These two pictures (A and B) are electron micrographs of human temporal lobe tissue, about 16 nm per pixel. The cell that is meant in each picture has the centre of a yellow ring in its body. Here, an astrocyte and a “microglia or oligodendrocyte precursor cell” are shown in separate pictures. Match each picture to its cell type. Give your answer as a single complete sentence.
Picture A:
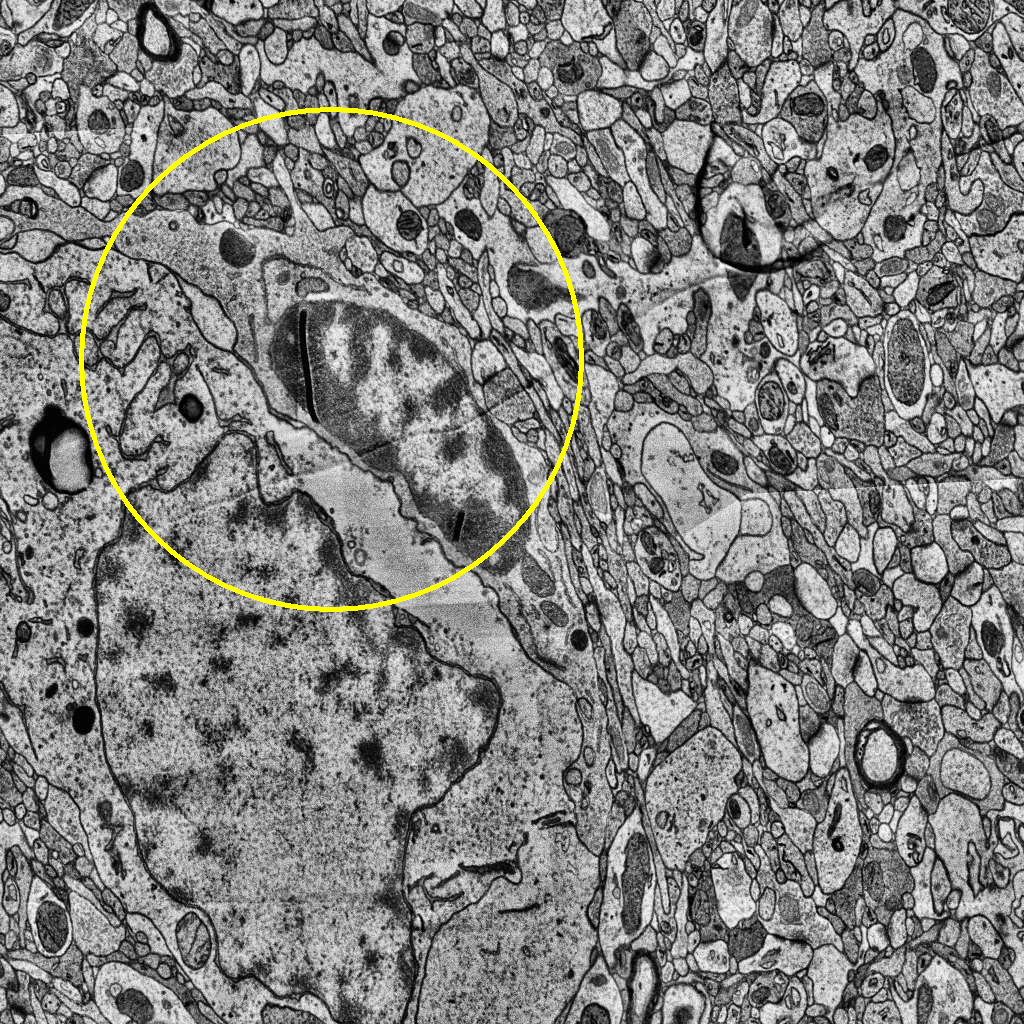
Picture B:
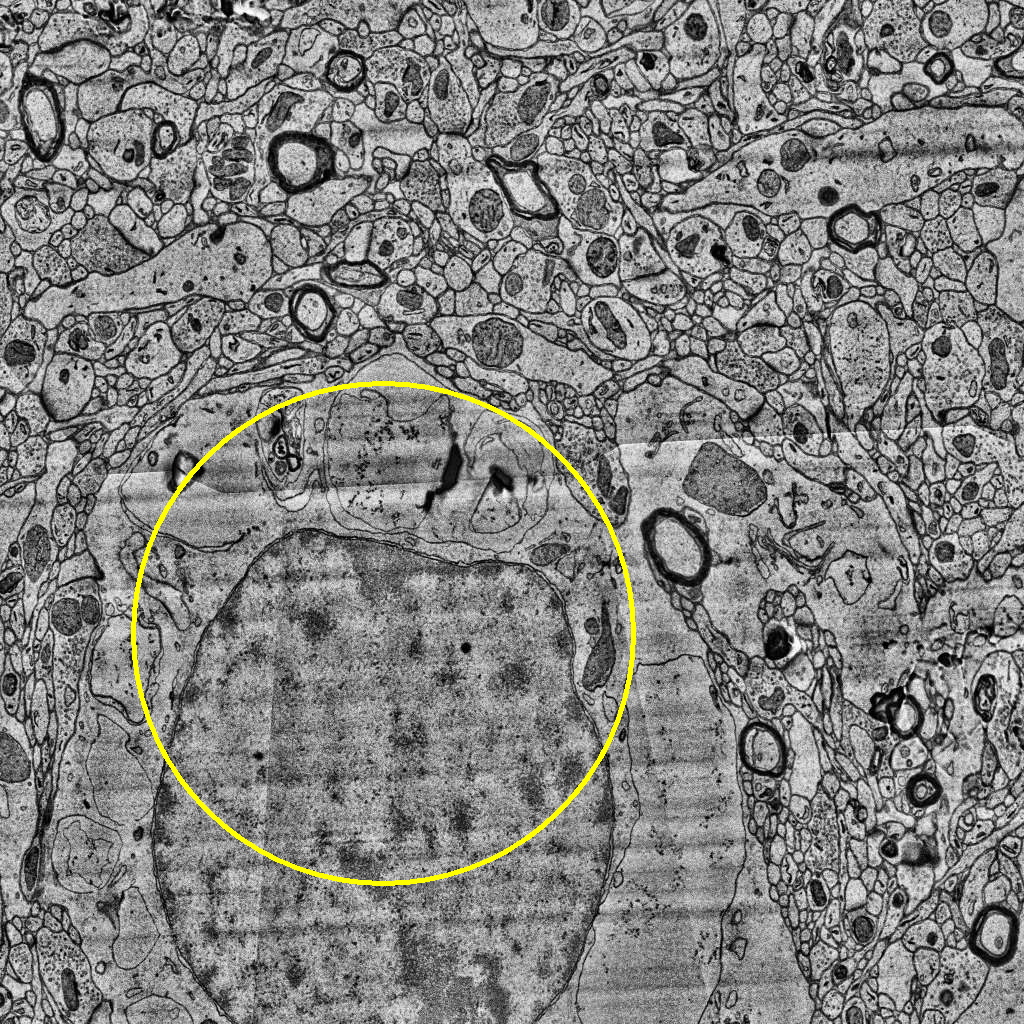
Picture B shows an astrocyte, while picture A shows a “microglia or oligodendrocyte precursor cell”.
